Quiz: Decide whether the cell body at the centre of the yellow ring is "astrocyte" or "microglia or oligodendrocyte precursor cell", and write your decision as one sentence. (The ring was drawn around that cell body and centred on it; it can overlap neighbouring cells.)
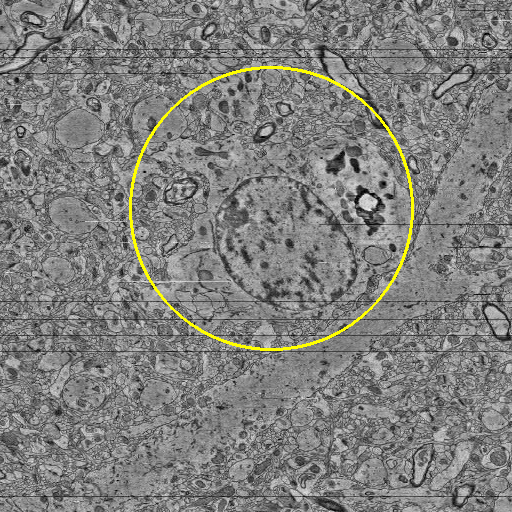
The cell the ring is centred on is an astrocyte.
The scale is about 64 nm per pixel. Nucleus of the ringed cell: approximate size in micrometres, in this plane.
About 10 micrometres by about 8 micrometres in this plane.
